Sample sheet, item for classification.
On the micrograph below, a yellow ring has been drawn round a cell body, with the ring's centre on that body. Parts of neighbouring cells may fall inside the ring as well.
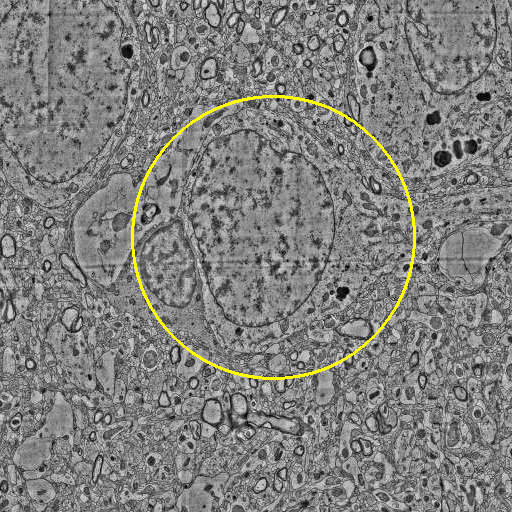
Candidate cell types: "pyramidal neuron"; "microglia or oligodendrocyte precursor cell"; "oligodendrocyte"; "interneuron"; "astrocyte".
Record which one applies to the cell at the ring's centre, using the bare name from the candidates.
pyramidal neuron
